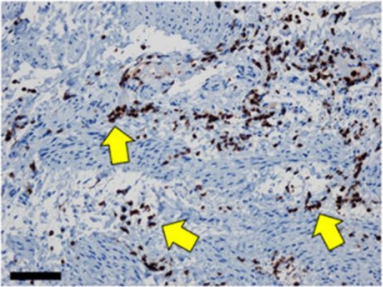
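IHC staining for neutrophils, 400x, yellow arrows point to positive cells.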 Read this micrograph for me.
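Fibrous connective tissue of spindle-shaped stromal cells with elongated blue nuclei, through which many small round cells stained dark brown are scattered. The brown cells gather in clusters and streaks that run along the bands of the tissue.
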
